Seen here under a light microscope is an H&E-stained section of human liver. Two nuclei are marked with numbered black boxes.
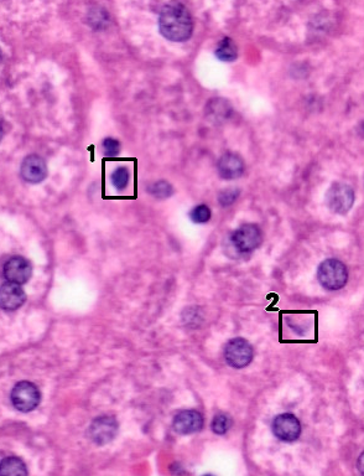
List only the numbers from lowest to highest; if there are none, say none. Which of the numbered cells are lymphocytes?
1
